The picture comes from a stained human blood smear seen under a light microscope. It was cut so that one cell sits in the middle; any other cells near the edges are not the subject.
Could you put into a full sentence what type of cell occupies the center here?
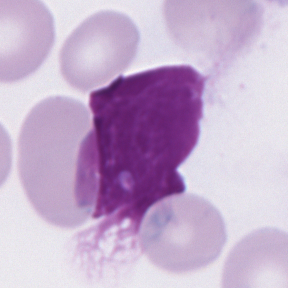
Centrally within this crop lies a smudge cell.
